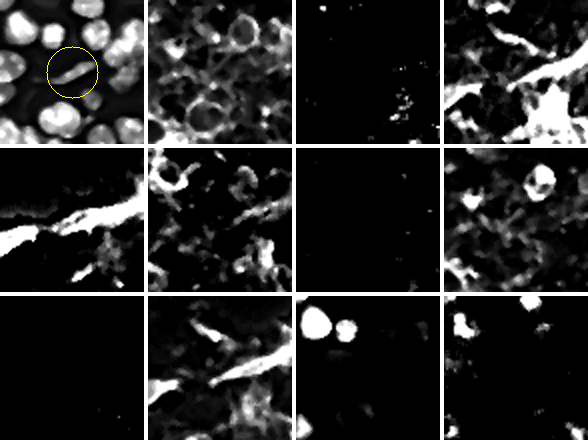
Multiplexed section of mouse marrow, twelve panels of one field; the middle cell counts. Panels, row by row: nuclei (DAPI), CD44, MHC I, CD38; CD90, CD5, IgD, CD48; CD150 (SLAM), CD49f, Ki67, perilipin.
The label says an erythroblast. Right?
Wrong: this is a capillary endothelial cell.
